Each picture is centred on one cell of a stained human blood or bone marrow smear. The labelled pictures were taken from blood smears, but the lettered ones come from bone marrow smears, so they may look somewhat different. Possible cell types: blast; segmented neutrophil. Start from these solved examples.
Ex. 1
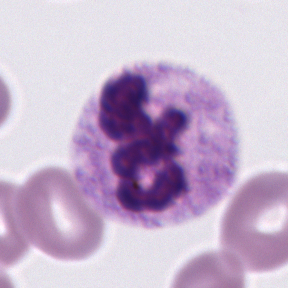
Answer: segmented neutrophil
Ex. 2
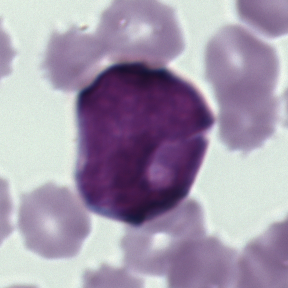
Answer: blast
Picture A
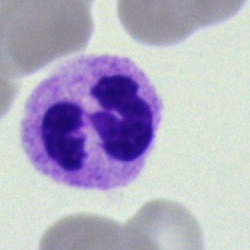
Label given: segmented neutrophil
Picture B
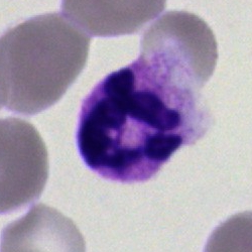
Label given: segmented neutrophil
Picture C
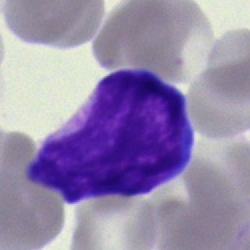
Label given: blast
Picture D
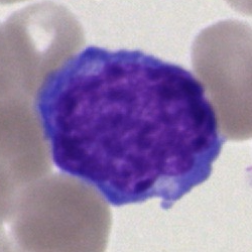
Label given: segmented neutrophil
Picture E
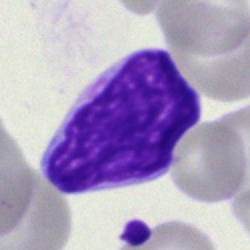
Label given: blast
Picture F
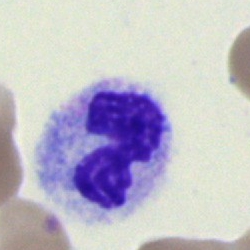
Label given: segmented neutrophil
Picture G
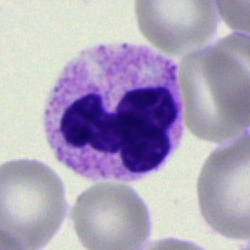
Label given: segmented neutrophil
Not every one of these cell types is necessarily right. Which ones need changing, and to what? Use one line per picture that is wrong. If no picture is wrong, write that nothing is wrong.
D: change segmented neutrophil to blast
